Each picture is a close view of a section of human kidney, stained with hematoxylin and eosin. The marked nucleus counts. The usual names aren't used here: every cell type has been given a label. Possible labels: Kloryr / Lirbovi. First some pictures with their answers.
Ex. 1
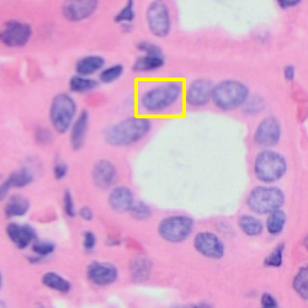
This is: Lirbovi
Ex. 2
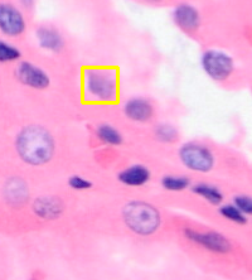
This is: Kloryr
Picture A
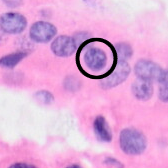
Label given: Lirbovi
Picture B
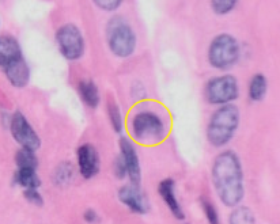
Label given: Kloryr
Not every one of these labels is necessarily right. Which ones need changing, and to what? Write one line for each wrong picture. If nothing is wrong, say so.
B: change Kloryr to Lirbovi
